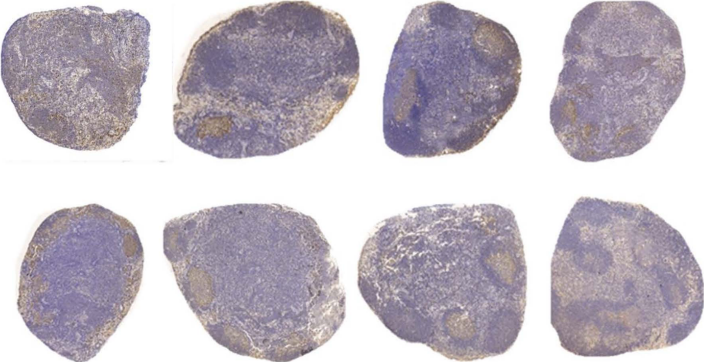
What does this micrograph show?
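These are whole cross-sections of lymph nodes, each cut through as a roughly round or oval slice. The tissue is counterstained blue-purple, with a brownish tint in places, most often towards the outer edge. Round to oval patches sit in the outer part of the node, just beneath its surface, and stand apart in colour from the tissue around them. These patches are germinal centers, the dense rounded areas within the follicles.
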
